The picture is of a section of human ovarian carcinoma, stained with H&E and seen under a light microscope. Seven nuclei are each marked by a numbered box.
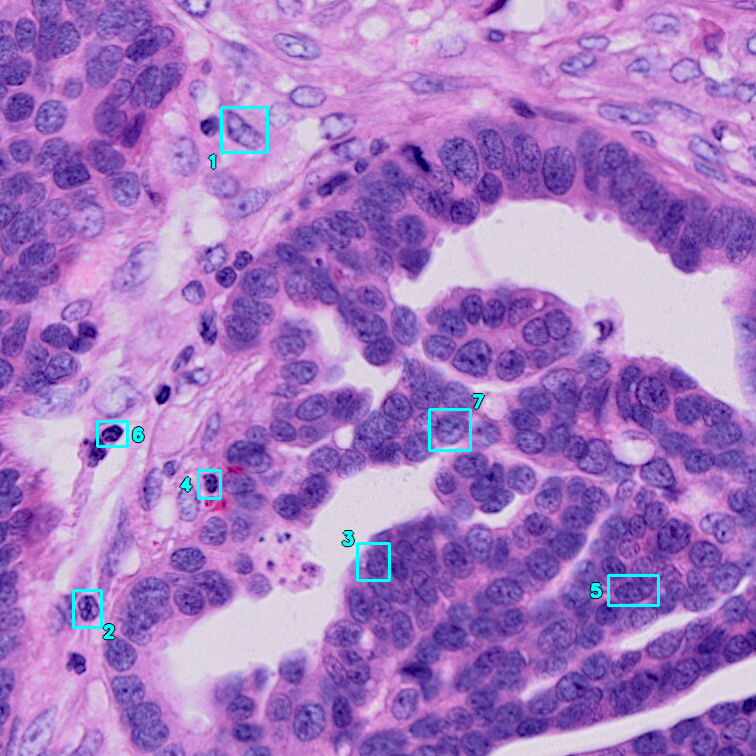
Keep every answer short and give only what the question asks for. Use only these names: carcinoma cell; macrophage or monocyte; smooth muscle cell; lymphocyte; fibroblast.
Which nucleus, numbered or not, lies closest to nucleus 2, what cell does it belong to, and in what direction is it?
a fibroblast to the left of nucleus 2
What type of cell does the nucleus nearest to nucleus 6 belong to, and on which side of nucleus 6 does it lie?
a macrophage or monocyte, below and to the left of nucleus 6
